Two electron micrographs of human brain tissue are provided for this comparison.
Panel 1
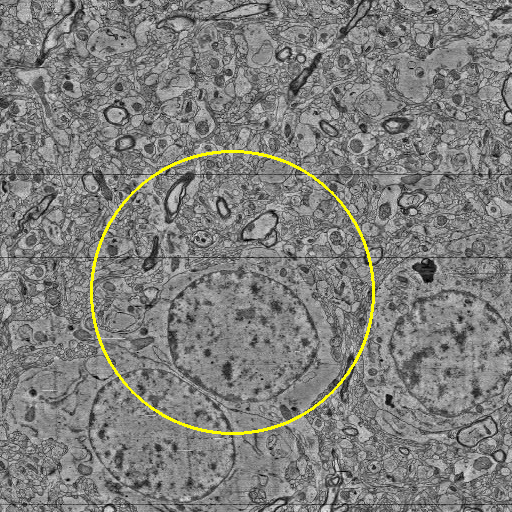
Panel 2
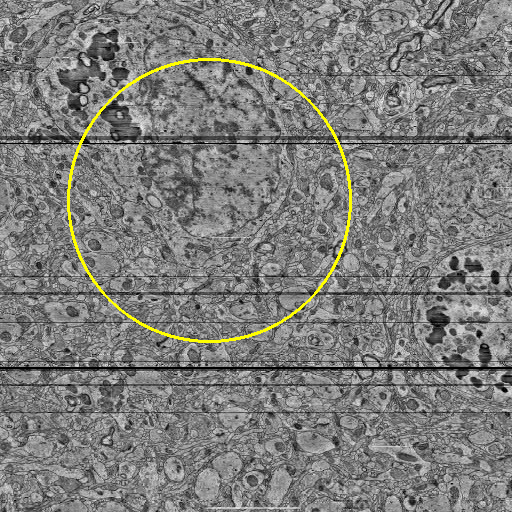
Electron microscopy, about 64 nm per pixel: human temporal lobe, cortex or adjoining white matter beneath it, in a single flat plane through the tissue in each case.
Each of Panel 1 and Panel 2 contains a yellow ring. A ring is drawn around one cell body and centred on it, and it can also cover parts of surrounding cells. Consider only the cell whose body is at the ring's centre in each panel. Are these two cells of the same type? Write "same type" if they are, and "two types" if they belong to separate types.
two types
